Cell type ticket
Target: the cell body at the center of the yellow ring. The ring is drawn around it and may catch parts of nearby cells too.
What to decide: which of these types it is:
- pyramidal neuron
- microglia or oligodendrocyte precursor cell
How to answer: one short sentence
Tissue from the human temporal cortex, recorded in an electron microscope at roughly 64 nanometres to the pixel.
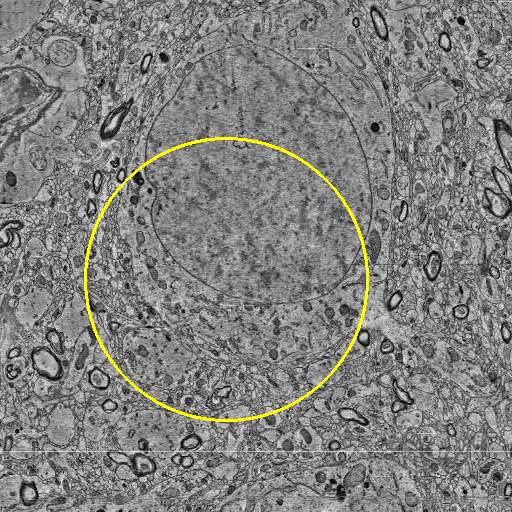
The cell at the center of the ring is a pyramidal neuron.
